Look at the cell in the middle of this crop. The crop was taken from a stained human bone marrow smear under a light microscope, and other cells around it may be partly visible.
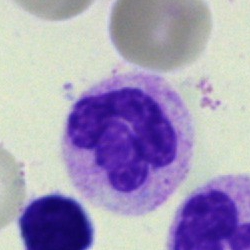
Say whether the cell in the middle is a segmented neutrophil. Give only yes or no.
yes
